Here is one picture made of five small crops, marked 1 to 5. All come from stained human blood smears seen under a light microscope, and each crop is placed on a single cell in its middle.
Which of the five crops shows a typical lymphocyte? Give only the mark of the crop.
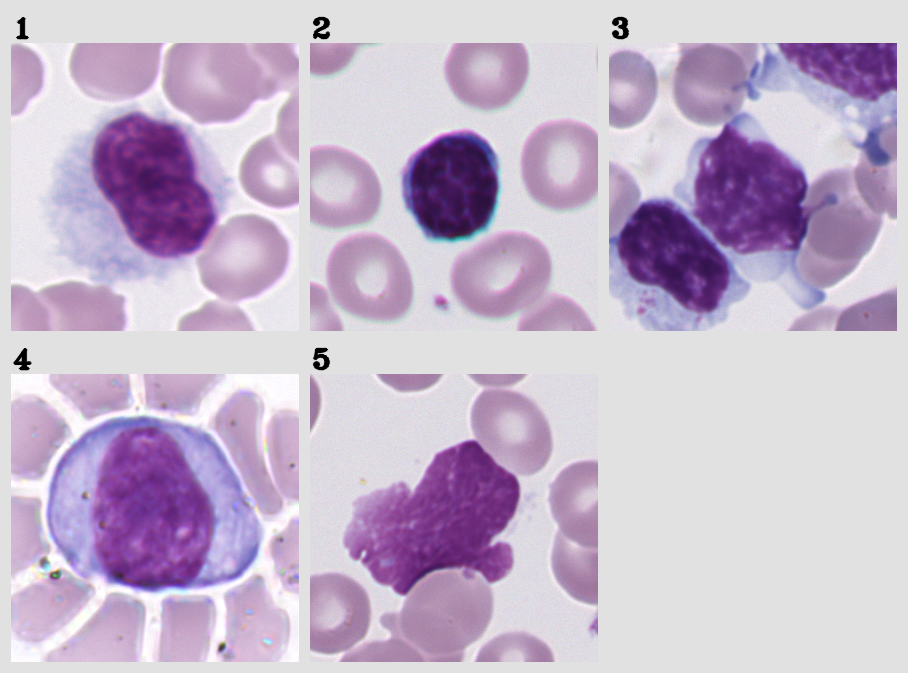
2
